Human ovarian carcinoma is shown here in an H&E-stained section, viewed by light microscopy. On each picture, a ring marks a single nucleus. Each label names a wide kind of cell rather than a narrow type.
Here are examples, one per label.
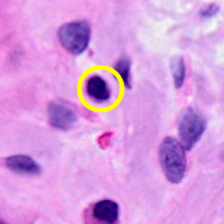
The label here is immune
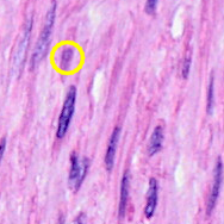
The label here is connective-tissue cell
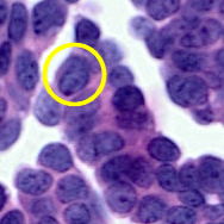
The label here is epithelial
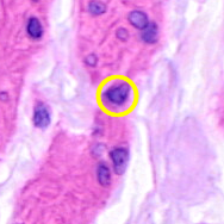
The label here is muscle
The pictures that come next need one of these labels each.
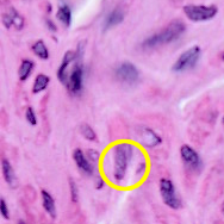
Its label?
muscle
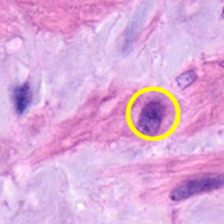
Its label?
muscle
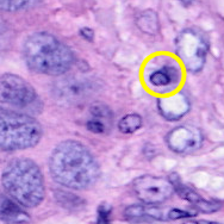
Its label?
immune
